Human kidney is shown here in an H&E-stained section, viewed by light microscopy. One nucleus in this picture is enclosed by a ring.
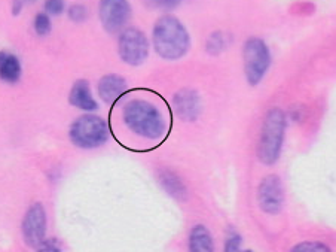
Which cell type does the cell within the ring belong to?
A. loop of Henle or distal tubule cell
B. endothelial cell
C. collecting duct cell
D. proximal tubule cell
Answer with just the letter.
C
